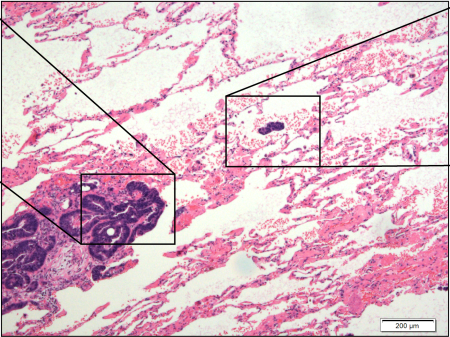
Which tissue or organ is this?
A: Lung.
